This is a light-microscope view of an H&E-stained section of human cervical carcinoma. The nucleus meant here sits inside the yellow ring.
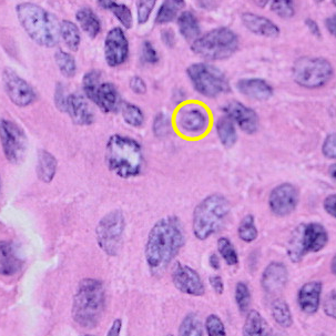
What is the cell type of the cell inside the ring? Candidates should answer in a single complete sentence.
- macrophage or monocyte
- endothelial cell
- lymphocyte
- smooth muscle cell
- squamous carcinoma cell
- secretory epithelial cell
It is a squamous carcinoma cell that the cell inside the ring represents.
